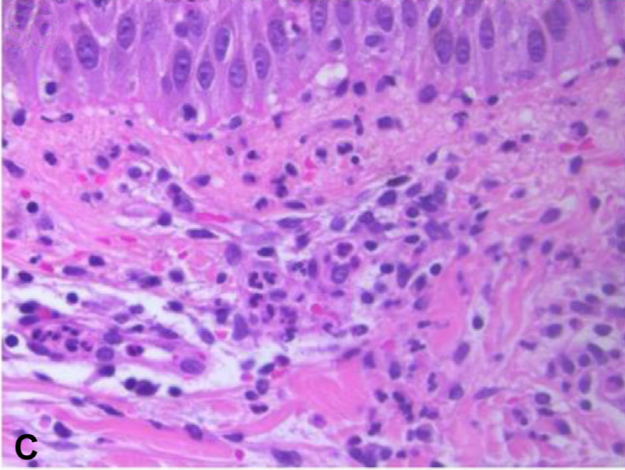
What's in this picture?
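Lower epidermis and underlying superficial dermis. Columnar basal keratinocytes with oval nuclei line the top edge. Beneath, the dermis is crowded with small inflammatory cells with dark, segmented nuclei lying between pink collagen bundles, together with a few red blood cells.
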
